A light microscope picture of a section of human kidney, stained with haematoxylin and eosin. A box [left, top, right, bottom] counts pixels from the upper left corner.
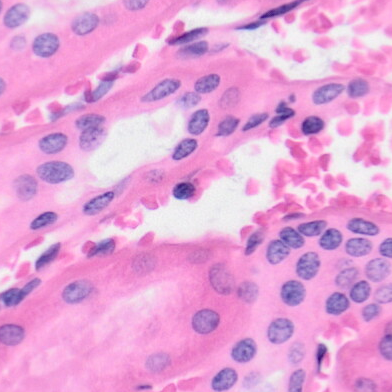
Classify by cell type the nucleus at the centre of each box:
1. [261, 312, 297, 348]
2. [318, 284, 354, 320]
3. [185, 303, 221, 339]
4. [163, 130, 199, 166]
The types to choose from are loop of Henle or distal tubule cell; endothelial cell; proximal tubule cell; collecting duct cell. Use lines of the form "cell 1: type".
cell 1: collecting duct cell
cell 2: collecting duct cell
cell 3: proximal tubule cell
cell 4: collecting duct cell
